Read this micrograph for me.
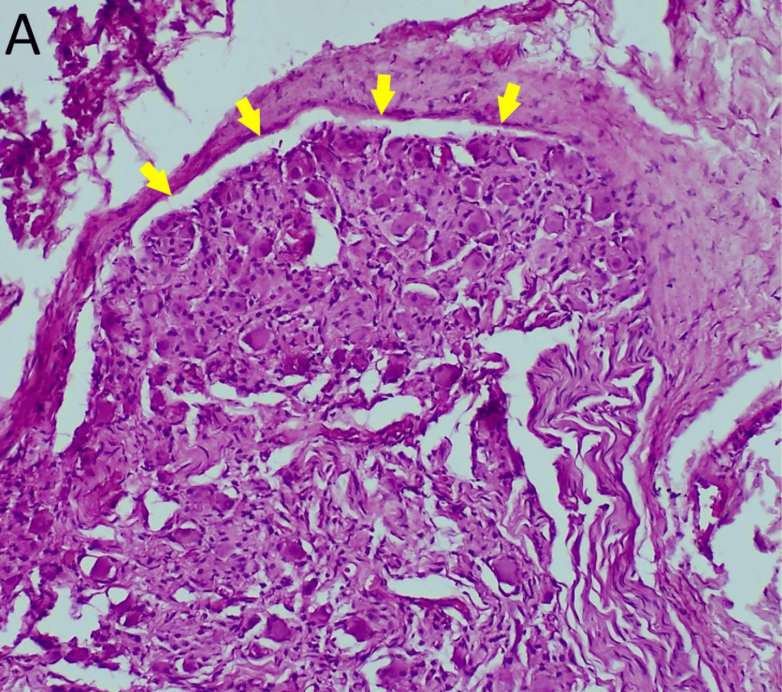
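Low-power view of a well-circumscribed tumor of mature ganglion cells and spindle cells. A smooth, continuous edge bounds the cellular tissue, lined by a pink band of fibrous tissue, separated from it in places by a narrow cleft. Inside, scattered large pink cells with round nuclei lie among many small dark nuclei in a pale fibrillary stroma. Toward the lower part the tissue becomes looser, with wavy pink fibers and clear spaces between them. Loose fragments of tissue lie outside the boundary at the upper left.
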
